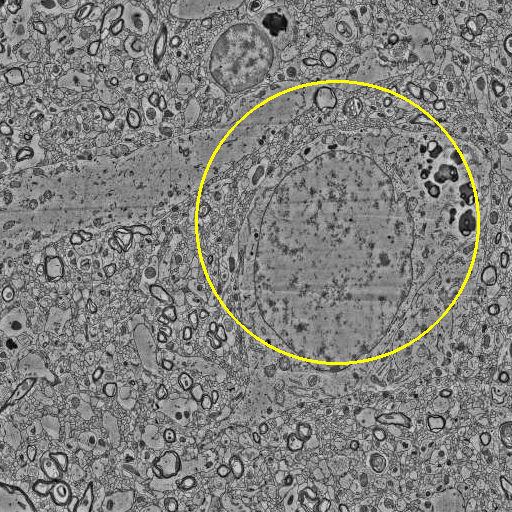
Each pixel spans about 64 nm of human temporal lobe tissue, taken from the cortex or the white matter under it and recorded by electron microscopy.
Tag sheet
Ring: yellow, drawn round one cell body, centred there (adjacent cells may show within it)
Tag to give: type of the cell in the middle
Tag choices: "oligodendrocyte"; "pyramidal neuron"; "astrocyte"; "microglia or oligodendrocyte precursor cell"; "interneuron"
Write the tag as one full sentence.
I tag the cell centred in the yellow ring as a pyramidal neuron in this picture.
